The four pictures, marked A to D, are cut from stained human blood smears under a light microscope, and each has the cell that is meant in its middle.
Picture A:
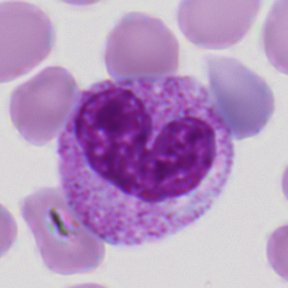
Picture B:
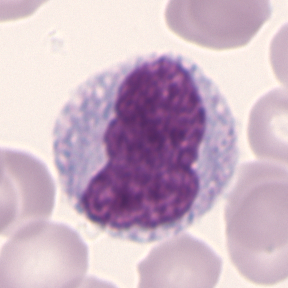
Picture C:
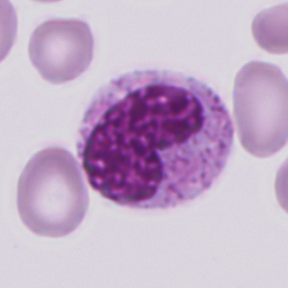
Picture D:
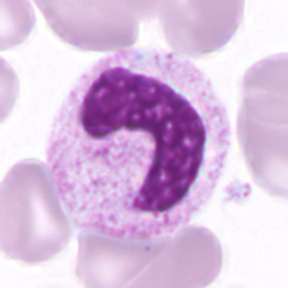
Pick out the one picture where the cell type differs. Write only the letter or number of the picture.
B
